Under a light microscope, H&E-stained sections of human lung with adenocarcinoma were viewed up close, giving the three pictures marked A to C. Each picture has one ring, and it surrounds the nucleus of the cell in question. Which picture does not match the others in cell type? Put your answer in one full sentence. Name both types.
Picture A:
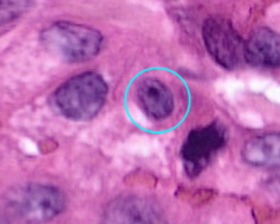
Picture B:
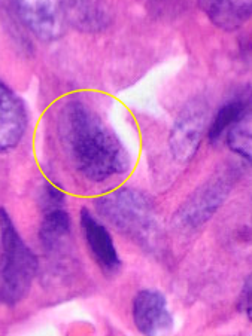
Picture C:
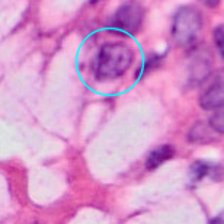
Picture C is the odd one out: it shows a ciliated epithelial cell, while the others show carcinoma cells.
